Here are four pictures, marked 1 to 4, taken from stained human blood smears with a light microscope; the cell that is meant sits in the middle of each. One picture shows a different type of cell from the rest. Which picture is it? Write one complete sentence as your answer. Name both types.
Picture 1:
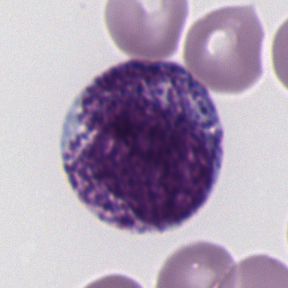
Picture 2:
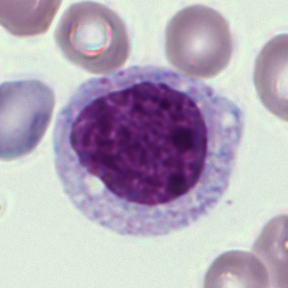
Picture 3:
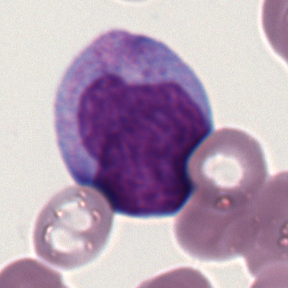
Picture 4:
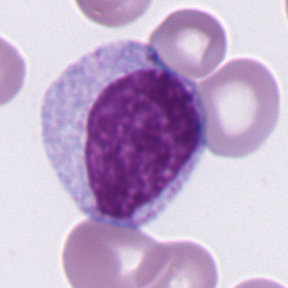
All pictures except 3 show myelocytes; picture 3 shows an atypical promyelocyte.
